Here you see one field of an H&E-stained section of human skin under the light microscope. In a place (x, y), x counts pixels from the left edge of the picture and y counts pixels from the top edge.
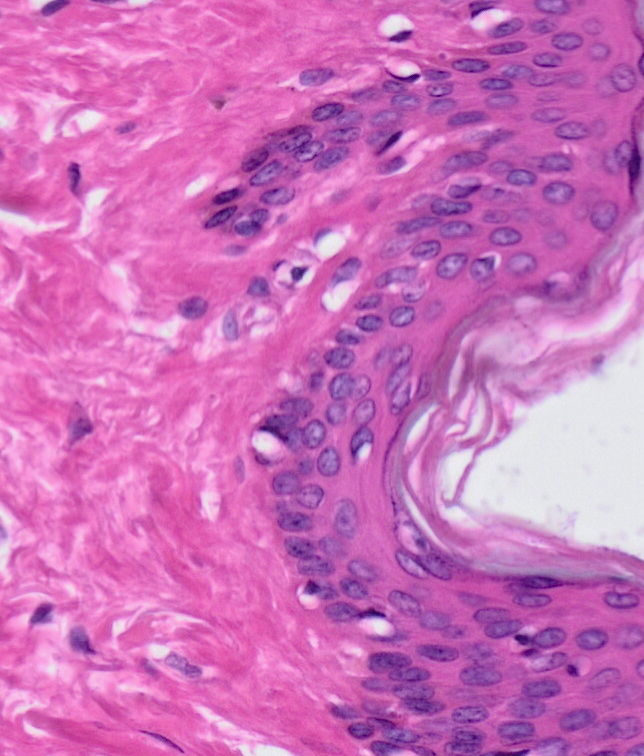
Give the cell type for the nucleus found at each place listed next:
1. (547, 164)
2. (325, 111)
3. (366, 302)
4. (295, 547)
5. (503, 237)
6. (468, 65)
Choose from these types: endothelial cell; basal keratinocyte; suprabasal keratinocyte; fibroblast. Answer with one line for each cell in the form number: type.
1: suprabasal keratinocyte
2: basal keratinocyte
3: basal keratinocyte
4: basal keratinocyte
5: suprabasal keratinocyte
6: basal keratinocyte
